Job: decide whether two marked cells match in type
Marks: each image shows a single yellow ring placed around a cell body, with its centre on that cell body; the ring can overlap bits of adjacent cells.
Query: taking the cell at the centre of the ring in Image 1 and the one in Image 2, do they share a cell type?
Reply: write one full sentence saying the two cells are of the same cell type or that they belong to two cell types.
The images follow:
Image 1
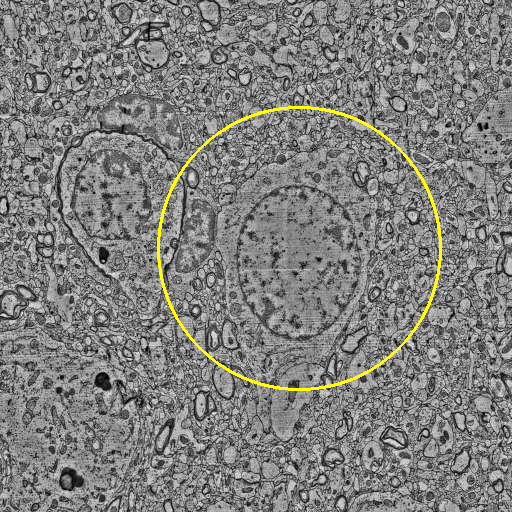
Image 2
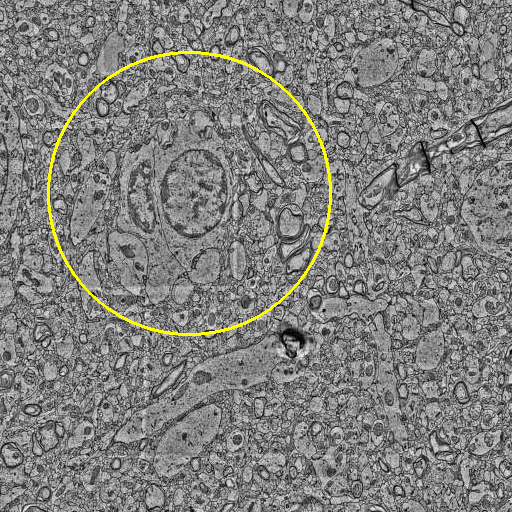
The cells at the ring centres in Image 1 and Image 2 belong to two cell types.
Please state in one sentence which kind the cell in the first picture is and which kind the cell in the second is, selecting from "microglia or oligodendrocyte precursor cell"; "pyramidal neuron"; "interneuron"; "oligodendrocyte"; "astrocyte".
The first ringed cell is an interneuron, the second ringed cell a microglial cell or oligodendrocyte precursor cell.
